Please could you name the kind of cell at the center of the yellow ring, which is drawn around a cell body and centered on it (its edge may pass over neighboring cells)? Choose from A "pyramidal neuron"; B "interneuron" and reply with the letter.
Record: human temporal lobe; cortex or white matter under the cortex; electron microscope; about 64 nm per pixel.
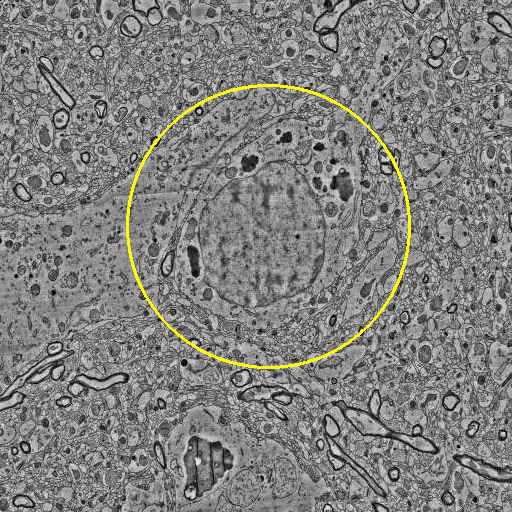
B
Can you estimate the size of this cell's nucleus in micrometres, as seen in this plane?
The nucleus is approximately 9 micrometers across in this plane.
